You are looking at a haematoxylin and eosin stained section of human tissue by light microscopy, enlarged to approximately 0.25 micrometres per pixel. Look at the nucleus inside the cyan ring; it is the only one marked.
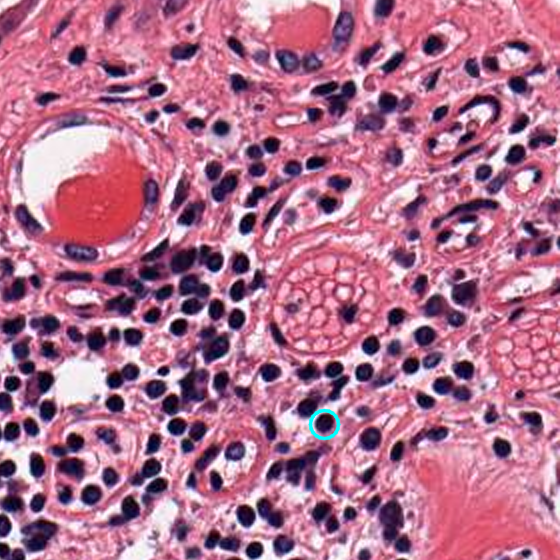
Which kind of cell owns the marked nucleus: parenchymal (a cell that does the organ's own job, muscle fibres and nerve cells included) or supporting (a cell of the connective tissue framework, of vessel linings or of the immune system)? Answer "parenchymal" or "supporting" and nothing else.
supporting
